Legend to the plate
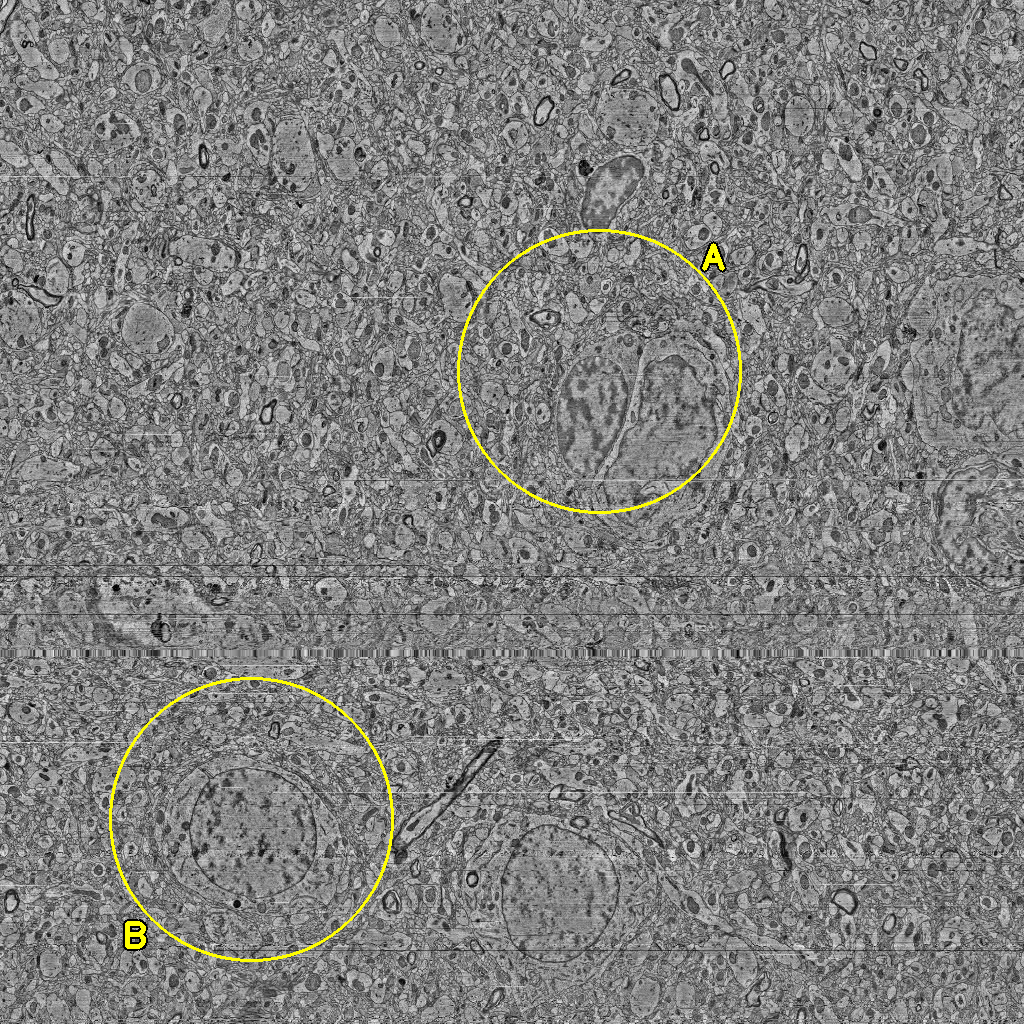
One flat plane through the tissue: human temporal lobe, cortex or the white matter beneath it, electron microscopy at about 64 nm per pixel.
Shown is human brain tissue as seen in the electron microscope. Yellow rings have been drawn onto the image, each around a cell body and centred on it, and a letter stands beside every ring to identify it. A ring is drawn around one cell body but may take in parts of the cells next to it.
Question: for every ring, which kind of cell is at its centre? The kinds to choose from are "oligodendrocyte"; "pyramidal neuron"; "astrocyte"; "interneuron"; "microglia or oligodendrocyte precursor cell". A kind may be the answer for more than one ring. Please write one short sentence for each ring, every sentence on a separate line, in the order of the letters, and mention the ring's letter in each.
The kind of cell at the centre of ring A is an oligodendrocyte.
The kind of cell at the centre of ring B is a pyramidal neuron.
